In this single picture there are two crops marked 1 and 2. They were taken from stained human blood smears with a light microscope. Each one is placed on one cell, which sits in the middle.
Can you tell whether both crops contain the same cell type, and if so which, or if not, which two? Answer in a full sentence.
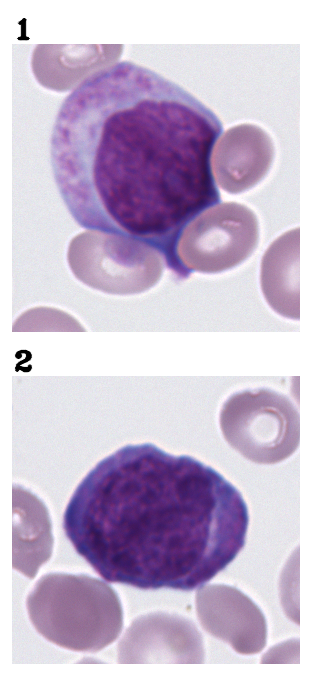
Yes, at the centre of both crops are atypical promyelocytes.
